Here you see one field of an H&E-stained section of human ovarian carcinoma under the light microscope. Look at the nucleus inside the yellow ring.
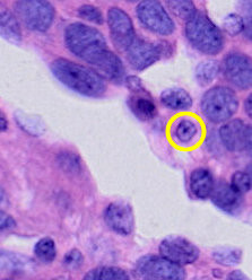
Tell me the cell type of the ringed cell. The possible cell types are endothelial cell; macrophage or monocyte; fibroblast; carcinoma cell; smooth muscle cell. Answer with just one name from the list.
macrophage or monocyte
